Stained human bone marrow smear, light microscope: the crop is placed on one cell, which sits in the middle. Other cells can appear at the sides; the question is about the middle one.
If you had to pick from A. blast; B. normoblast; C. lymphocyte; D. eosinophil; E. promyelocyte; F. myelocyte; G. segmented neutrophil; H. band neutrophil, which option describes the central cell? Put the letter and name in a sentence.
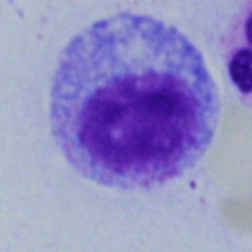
The cell in the middle is correctly identified as a myelocyte in option F.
